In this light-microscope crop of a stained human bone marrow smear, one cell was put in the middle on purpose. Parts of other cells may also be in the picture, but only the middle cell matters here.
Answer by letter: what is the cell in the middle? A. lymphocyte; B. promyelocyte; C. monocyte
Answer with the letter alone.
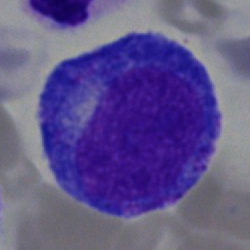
B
